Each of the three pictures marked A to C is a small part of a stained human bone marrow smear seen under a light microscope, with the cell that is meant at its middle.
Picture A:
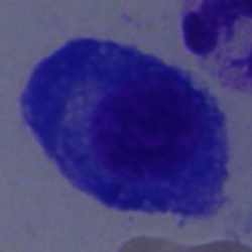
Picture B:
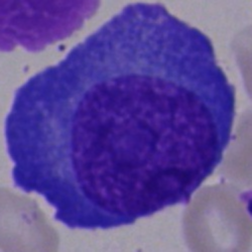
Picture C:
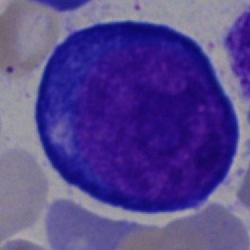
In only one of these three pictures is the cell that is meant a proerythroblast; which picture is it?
C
